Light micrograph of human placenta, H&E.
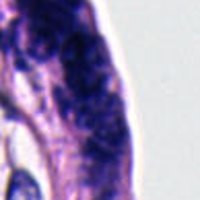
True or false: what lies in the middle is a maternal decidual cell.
False; it is a syncytial knot.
